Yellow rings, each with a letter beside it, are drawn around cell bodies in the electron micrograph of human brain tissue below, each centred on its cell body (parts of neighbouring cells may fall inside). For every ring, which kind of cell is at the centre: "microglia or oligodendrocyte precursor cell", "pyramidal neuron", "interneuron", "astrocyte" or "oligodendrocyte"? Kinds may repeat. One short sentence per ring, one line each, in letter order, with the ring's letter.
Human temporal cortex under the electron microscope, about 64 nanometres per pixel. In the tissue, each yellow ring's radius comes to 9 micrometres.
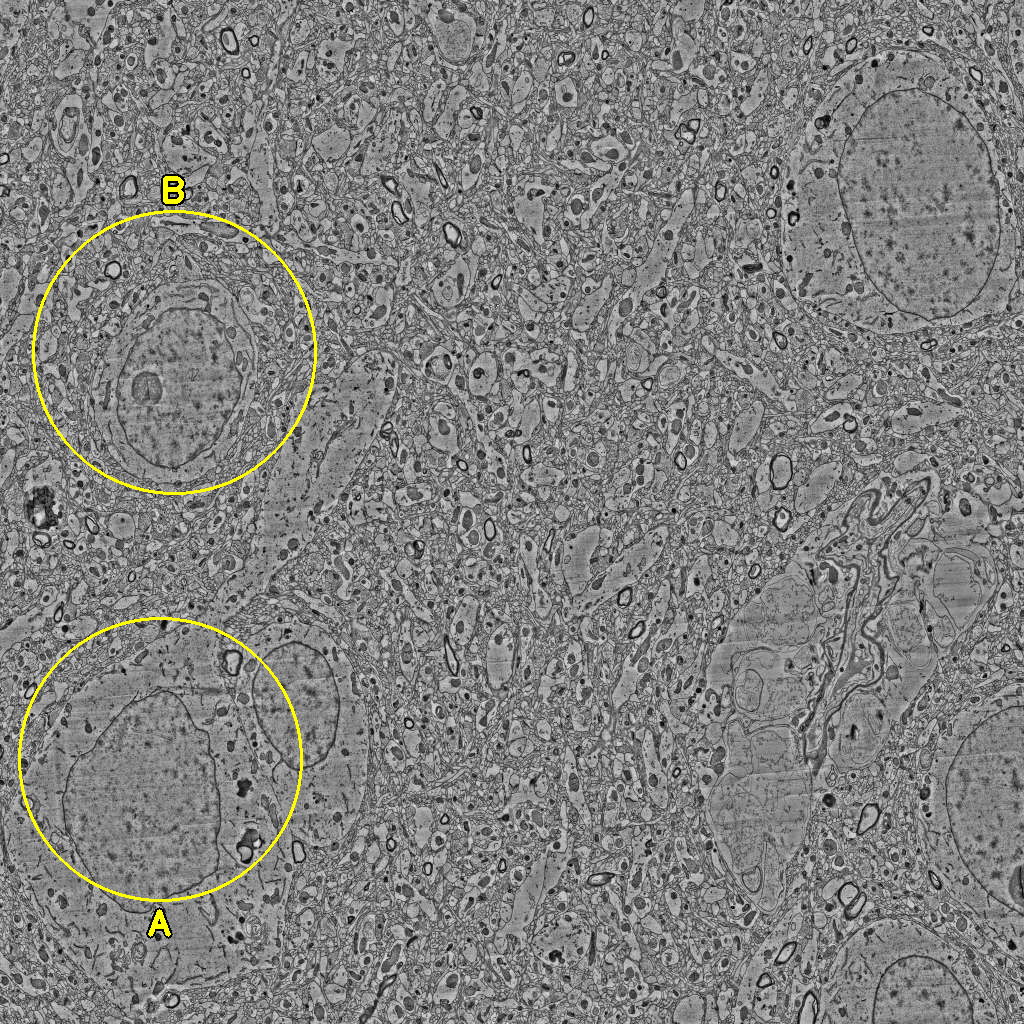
The cell in ring A is a pyramidal neuron.
The cell in ring B is an interneuron.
